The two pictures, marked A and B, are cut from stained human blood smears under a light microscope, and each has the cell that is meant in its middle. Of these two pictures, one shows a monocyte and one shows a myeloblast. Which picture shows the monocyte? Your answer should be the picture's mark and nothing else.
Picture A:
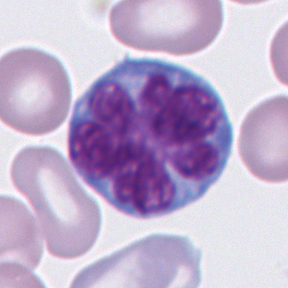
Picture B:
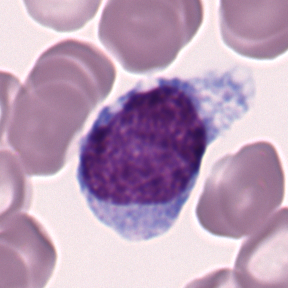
B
